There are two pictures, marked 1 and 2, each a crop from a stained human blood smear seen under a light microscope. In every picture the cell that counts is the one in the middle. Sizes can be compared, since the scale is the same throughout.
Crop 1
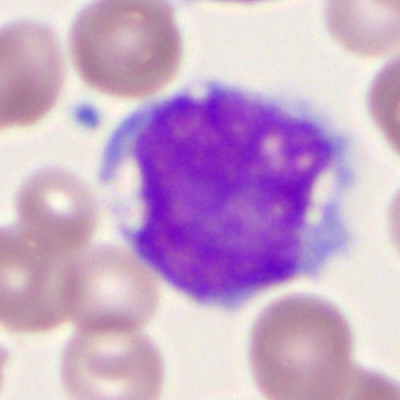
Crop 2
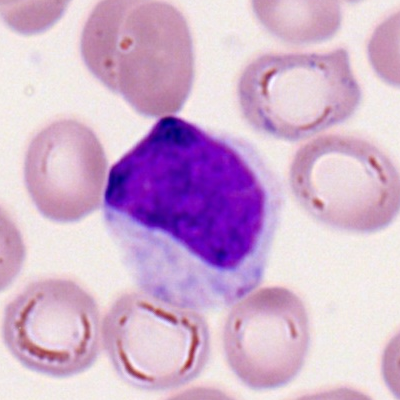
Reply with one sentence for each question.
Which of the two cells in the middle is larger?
Larger is the cell in crop 1, at roughly 1.5 times the area of the other.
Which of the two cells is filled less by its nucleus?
The nucleus fills less of the cell in crop 2 than in crop 1.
